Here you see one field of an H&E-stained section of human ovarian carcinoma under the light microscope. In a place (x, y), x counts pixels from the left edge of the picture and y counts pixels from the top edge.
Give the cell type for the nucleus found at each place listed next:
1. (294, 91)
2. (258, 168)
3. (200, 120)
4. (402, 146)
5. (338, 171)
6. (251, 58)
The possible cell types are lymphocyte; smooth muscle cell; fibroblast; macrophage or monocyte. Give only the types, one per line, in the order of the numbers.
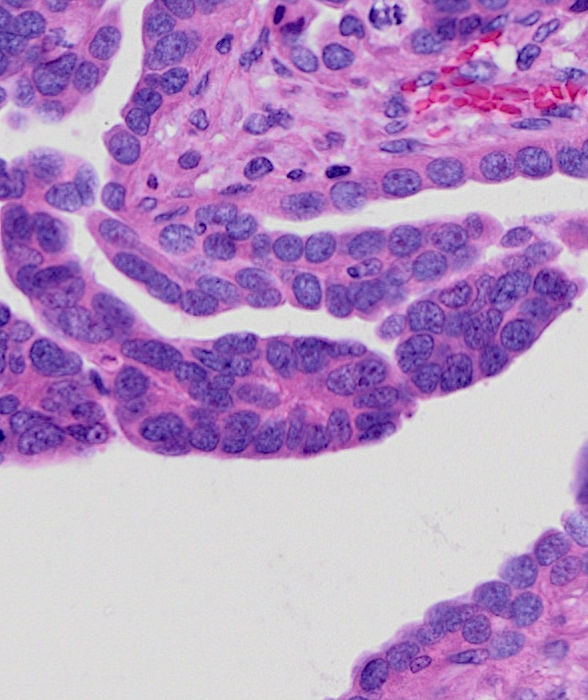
fibroblast
macrophage or monocyte
fibroblast
fibroblast
lymphocyte
fibroblast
